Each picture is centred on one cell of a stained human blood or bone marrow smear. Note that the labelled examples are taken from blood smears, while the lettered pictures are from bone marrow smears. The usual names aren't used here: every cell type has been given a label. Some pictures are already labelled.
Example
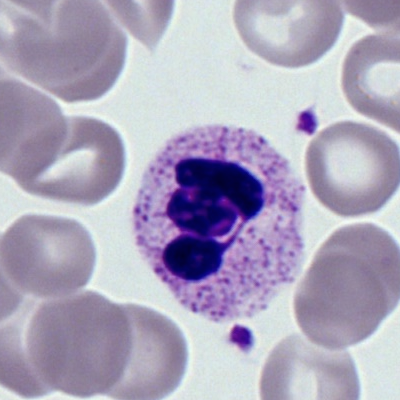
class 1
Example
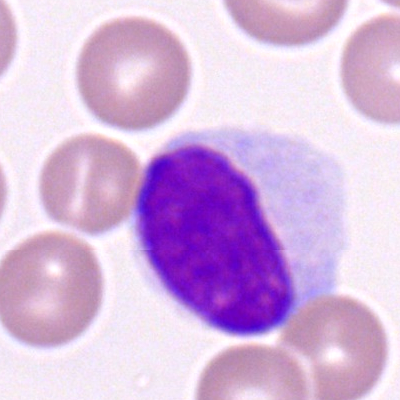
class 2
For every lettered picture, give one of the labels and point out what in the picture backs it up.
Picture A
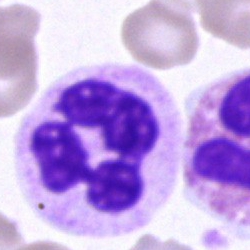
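class 1. The cytoplasm is abundant and pale lilac.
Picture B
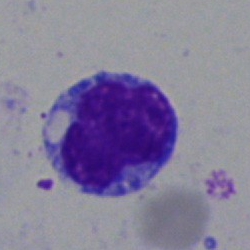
class 2. The nucleus fills most of the cell and sits toward the right.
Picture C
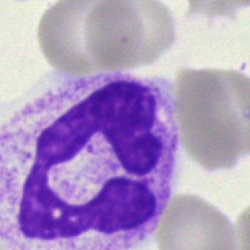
class 1. The nucleus is a thick curved band bent into a C shape that opens towards the right.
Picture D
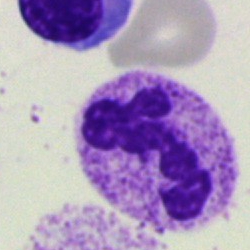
class 1. Fine violet granules fill the cytoplasm evenly.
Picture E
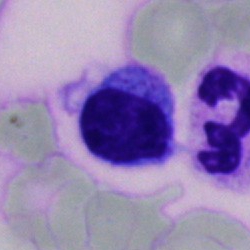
class 2. The nucleus fills most of the cell.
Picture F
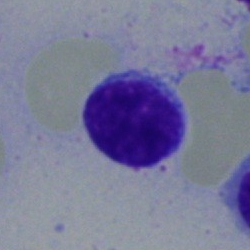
class 2. The nucleus fills almost the whole cell, leaving very little cytoplasm.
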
